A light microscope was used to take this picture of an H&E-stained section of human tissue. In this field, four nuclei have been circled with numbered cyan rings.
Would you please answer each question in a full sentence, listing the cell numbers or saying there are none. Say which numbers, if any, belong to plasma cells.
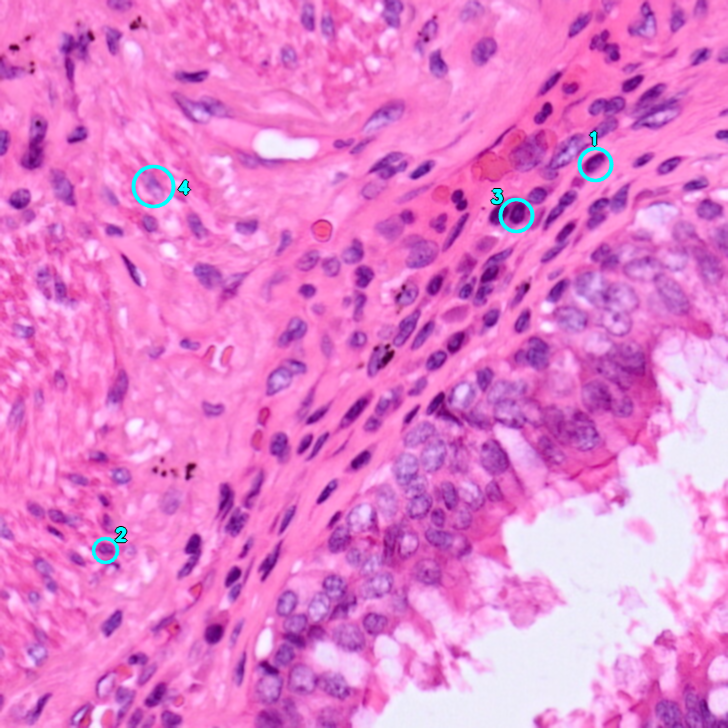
The cells tagged with numbers 1 and 3 are plasma cells.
